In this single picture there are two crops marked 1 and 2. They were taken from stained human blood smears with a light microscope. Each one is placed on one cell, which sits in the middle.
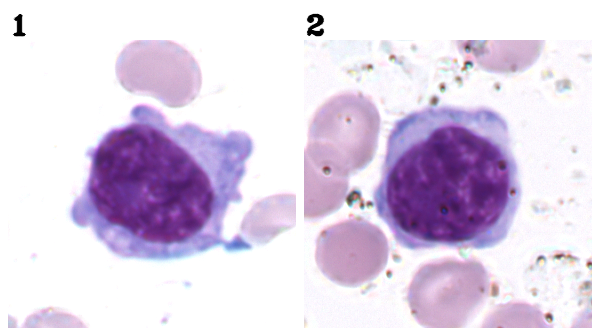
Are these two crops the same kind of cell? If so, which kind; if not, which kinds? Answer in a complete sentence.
Yes, plasma cells are centred in both crops.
